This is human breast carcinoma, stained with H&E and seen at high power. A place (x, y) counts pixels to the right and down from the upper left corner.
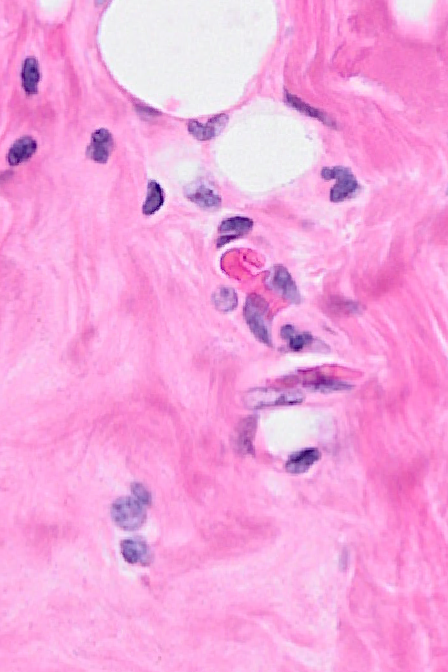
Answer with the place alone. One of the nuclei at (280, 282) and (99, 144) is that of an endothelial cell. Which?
(280, 282)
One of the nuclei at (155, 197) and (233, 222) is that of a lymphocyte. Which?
(155, 197)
